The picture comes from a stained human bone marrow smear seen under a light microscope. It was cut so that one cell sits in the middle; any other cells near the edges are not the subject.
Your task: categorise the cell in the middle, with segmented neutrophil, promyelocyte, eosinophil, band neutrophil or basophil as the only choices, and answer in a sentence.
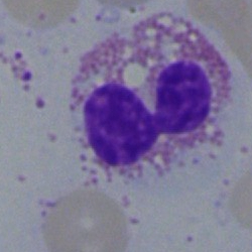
The cell in the middle of this crop is an eosinophil.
